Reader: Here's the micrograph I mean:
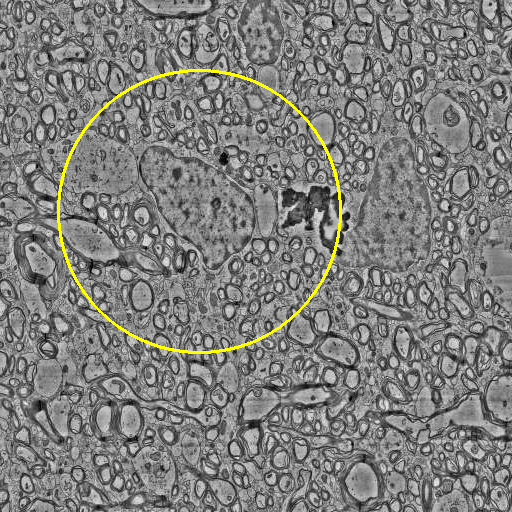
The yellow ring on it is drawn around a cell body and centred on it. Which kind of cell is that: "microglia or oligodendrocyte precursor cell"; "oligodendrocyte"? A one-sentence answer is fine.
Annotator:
The ring is centred on a microglial cell or oligodendrocyte precursor cell.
